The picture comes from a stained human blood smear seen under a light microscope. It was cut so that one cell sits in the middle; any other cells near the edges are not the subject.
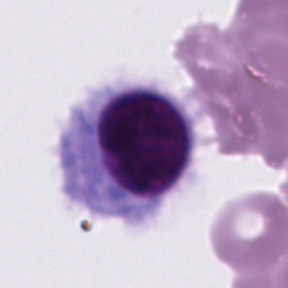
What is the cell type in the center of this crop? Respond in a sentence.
At the middle of the frame sits a hairy cell.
